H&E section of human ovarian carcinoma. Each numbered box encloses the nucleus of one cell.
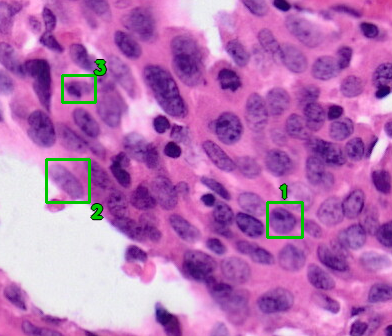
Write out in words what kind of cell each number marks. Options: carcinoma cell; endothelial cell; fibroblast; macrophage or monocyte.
Cell 1 is a carcinoma cell, cell 2 is a carcinoma cell and cell 3 is a macrophage or monocyte.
